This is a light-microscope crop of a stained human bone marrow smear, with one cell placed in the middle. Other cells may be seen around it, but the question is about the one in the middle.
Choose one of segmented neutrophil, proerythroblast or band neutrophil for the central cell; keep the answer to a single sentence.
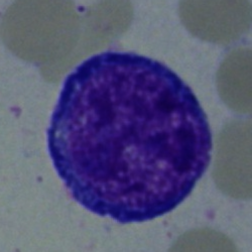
The centrally located cell in the crop is a proerythroblast.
